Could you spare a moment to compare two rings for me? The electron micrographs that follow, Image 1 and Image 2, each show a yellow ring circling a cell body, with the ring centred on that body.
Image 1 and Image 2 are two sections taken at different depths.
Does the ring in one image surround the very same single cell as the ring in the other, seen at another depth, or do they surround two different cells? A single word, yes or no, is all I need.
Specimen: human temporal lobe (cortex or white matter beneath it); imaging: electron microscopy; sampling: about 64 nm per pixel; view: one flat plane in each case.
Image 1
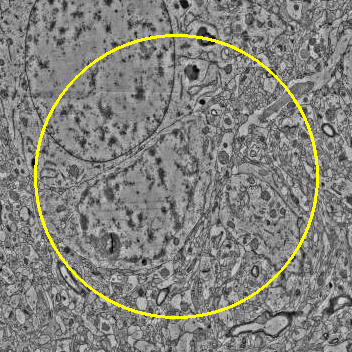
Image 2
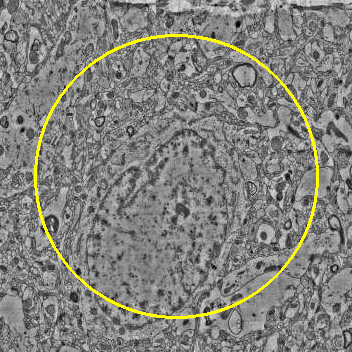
no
